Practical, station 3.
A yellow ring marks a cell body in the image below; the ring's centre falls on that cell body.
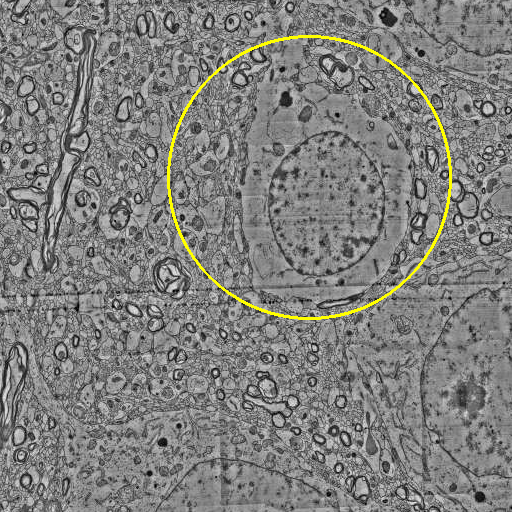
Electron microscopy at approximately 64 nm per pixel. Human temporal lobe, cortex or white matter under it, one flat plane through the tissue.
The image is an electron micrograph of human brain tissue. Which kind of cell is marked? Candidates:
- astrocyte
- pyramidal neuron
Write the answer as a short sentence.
The marked cell body is that of an astrocyte.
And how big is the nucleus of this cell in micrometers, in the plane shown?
In this plane the nucleus measures roughly 9 by 7 micrometers.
